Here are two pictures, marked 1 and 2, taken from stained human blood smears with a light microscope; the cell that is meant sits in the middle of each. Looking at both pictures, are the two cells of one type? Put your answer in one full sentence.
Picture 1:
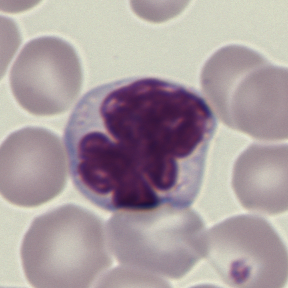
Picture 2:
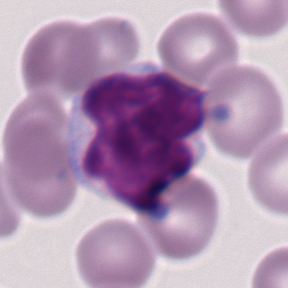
Yes, both are large granular lymphocytes.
